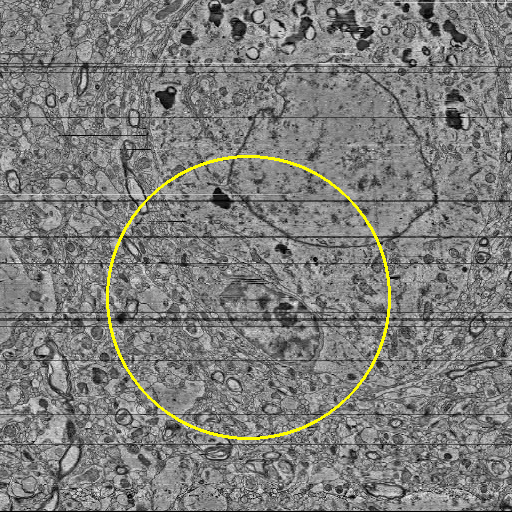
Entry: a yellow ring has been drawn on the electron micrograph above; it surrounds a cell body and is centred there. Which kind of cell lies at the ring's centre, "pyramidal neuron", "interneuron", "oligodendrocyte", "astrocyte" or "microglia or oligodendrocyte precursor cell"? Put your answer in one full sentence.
The cell sitting at the ring's centre is an oligodendrocyte in the micrograph above.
